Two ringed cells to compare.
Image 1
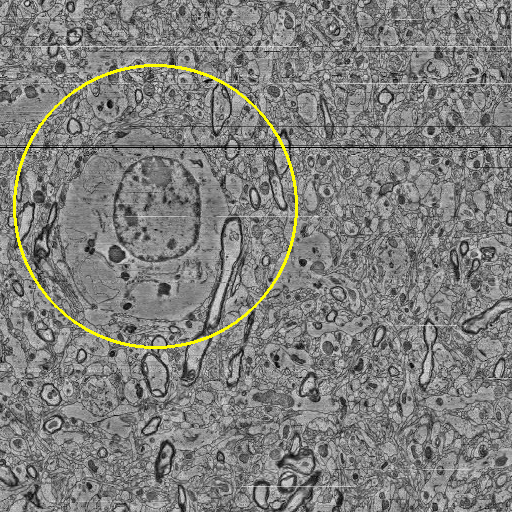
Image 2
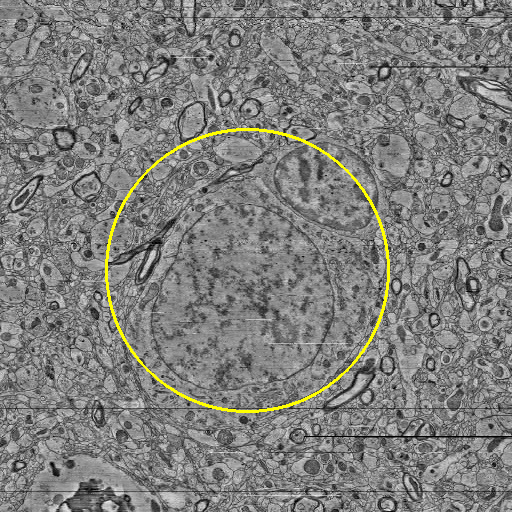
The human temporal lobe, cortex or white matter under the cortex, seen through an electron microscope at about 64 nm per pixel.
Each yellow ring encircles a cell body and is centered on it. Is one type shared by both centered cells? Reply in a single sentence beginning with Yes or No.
No, two types are found among the cells at the centers of the rings.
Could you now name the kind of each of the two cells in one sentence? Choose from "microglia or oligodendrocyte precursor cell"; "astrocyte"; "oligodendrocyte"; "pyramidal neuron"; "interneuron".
The first ring encloses an astrocyte; the second ring encloses a pyramidal neuron.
